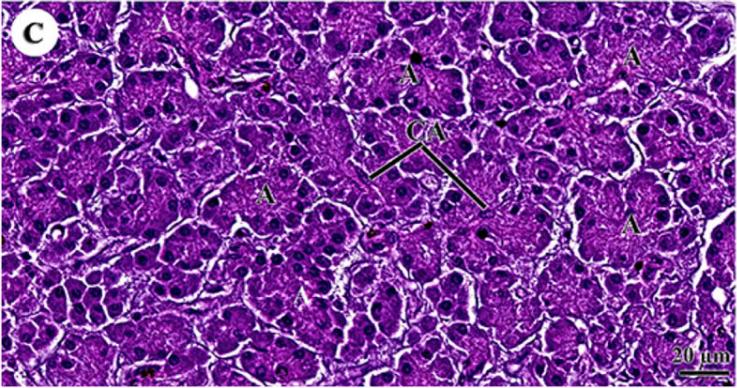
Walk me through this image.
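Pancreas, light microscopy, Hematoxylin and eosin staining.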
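This is exocrine pancreatic tissue made of closely packed acini, with a few small centroacinar cells among them. Each acinus is a rounded cluster of pyramidal cells with round, dark purple nuclei placed toward the base and granular purple cytoplasm. Thin pale clefts of connective tissue separate neighbouring acini.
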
